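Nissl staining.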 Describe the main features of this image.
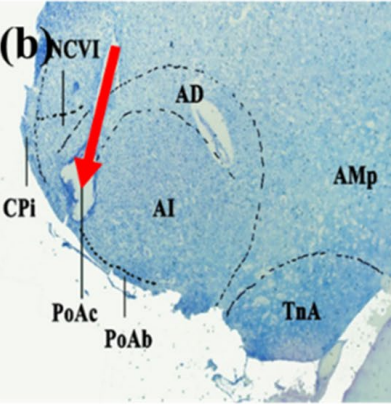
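Dashed lines mark the borders between neighbouring nuclei, which differ slightly in how densely their cells are packed. A cut blood vessel shows as an elongated pale space in the upper part of the section.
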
